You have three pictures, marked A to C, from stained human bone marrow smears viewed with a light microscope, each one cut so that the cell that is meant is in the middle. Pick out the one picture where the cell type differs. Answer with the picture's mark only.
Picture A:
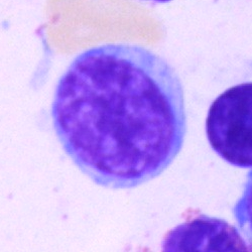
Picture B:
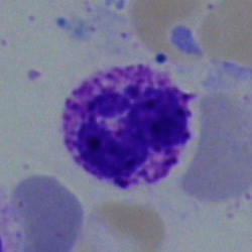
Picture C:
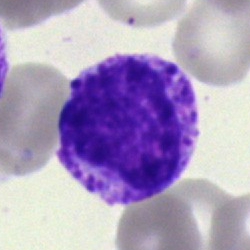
A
